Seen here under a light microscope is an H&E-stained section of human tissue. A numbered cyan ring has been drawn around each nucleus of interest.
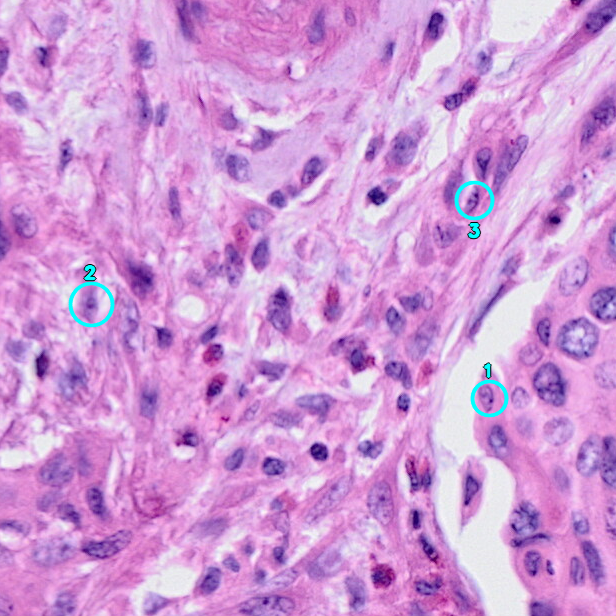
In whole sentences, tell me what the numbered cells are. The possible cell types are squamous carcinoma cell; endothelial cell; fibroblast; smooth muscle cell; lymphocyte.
Cell 1 is a squamous carcinoma cell. Cell 2 is a fibroblast. Cell 3 is an endothelial cell.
